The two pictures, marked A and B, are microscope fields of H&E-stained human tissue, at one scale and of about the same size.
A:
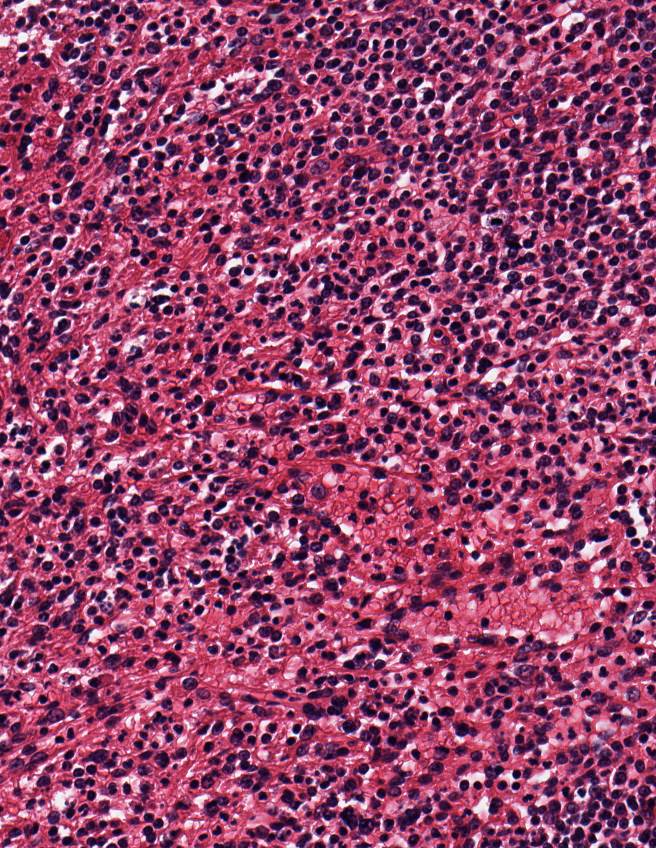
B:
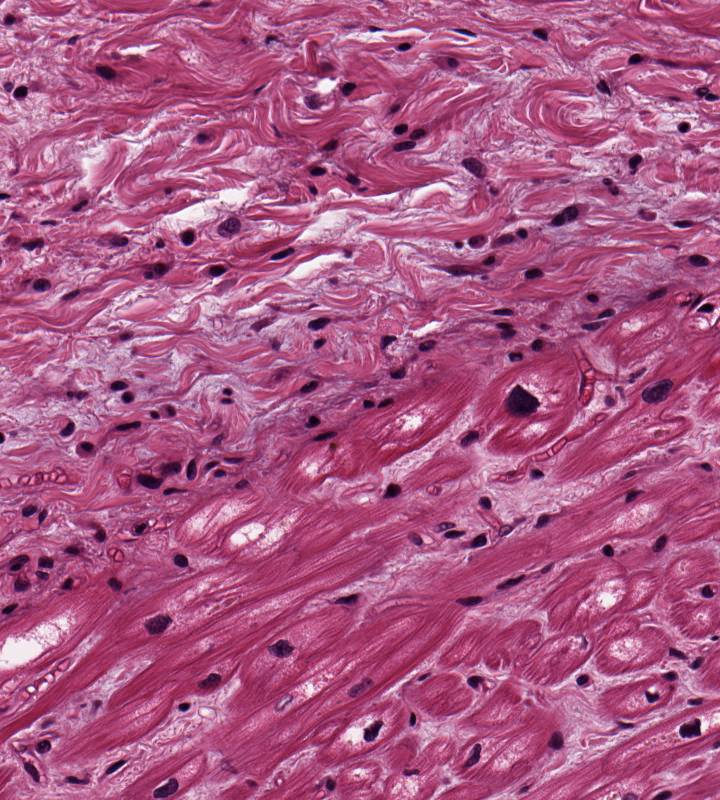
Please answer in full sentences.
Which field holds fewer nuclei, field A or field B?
Field B holds fewer nuclei than field A.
